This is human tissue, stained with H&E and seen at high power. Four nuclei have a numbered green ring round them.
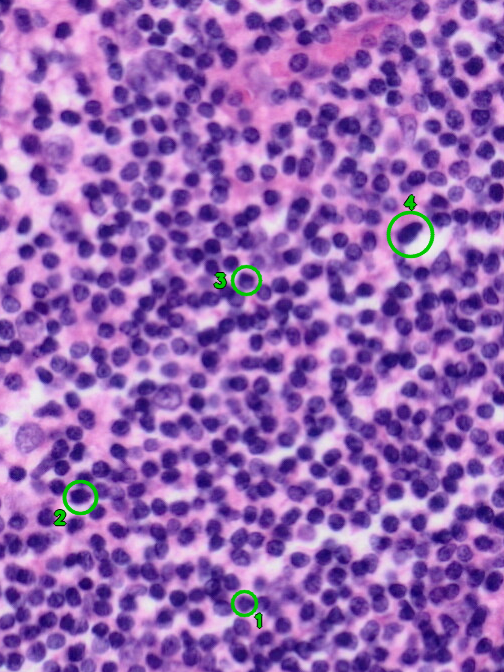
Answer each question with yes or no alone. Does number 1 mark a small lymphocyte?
yes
